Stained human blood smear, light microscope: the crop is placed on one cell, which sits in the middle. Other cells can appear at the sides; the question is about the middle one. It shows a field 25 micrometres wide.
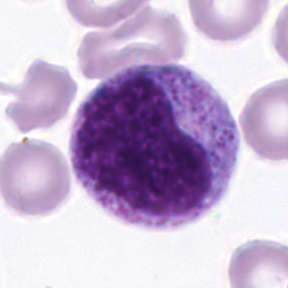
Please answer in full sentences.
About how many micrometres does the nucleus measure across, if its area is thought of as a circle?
About 11 micrometres: that is the diameter of the nucleus.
